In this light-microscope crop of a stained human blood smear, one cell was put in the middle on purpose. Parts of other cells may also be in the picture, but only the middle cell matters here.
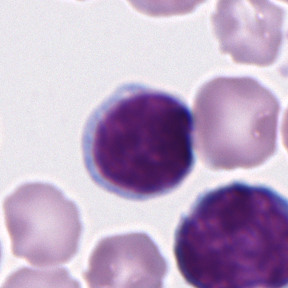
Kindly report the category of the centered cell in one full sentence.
Occupying the centre of the crop is a typical lymphocyte.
